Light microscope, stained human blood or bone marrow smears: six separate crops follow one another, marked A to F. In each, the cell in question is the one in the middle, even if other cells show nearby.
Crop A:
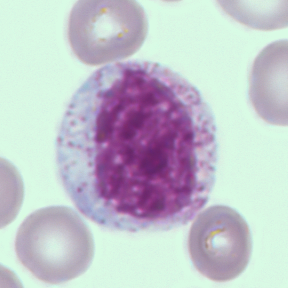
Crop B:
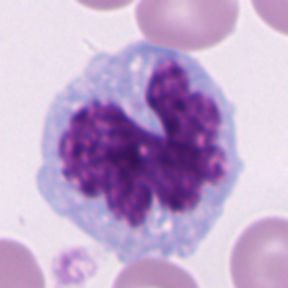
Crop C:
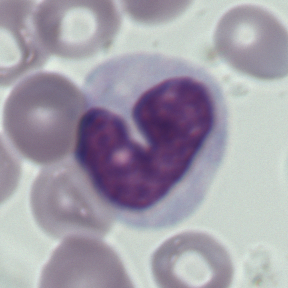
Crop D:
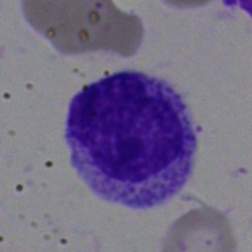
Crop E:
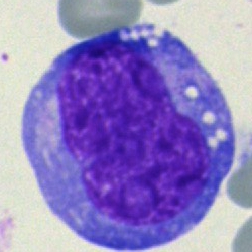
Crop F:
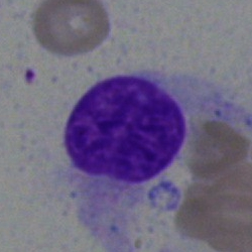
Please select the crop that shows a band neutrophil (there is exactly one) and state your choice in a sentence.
The crop with a band neutrophil in it is crop C.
